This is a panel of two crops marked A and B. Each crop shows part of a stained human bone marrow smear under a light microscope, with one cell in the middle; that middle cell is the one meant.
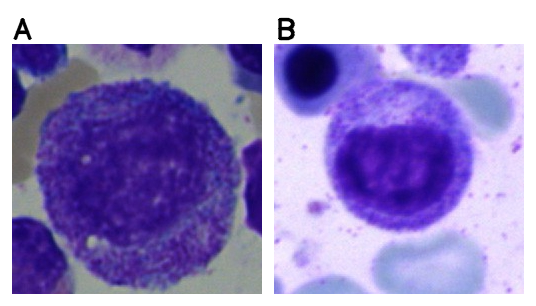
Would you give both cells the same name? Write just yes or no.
yes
